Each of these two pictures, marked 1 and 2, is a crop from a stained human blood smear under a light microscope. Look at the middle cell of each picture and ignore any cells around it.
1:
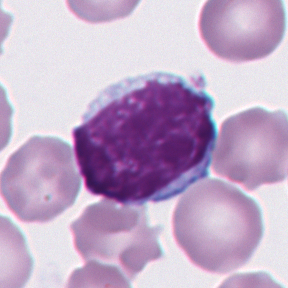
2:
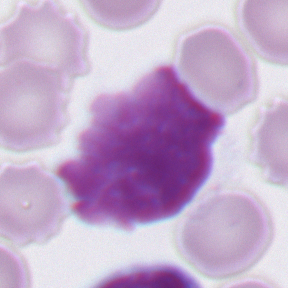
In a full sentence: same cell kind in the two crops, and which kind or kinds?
No: a typical lymphocyte sits in crop 1, and a smudge cell sits in crop 2.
